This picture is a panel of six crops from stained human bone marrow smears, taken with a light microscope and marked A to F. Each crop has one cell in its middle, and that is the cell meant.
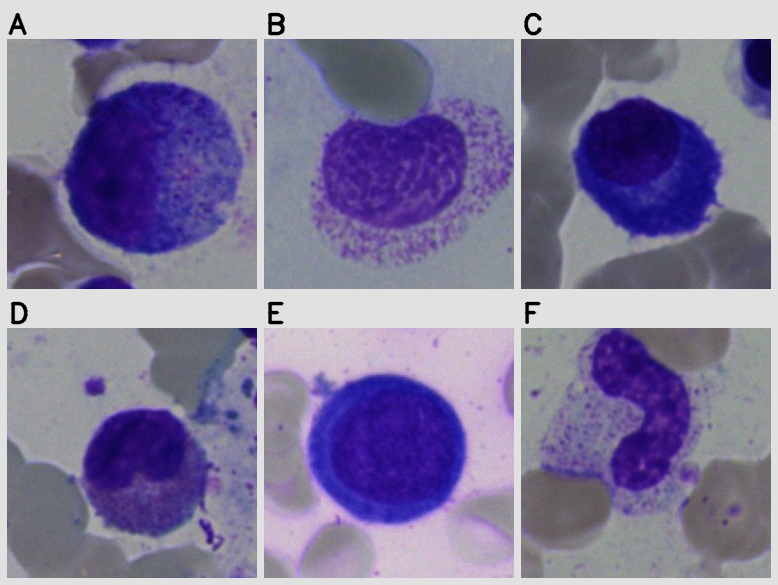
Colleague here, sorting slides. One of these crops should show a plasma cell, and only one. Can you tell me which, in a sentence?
In the set of crops, crop C is the one that contains a plasma cell.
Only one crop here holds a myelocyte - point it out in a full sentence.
Crop B is where a myelocyte is shown.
